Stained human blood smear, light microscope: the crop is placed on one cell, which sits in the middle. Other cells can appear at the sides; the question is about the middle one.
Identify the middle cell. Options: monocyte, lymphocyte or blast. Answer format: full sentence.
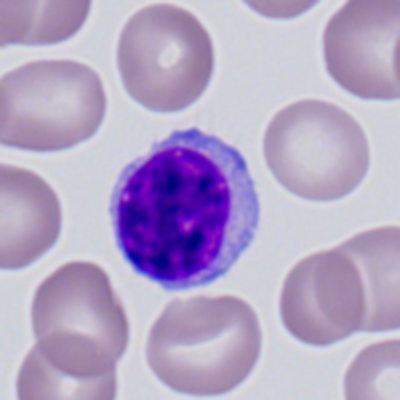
This crop's central cell is a lymphocyte.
